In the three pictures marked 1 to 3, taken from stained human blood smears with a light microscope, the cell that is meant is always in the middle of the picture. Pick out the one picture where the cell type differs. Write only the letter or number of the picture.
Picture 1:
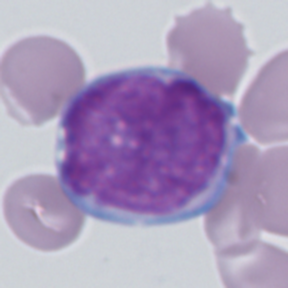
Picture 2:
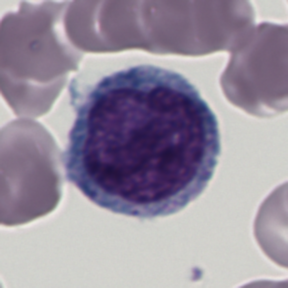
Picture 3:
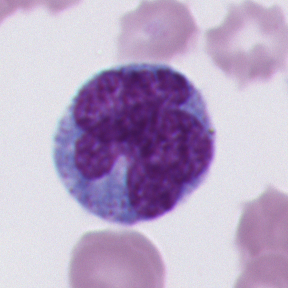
1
